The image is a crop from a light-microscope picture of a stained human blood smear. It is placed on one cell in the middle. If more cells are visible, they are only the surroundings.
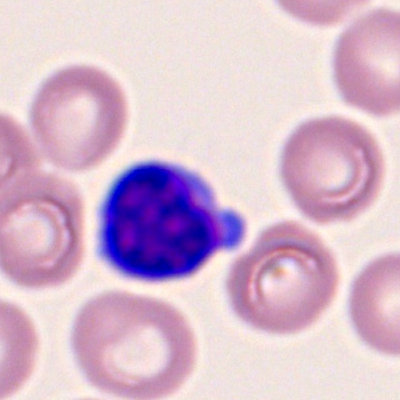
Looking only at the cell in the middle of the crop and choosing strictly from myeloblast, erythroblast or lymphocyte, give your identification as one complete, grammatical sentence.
The cell featured at the centre of this crop is a lymphocyte.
